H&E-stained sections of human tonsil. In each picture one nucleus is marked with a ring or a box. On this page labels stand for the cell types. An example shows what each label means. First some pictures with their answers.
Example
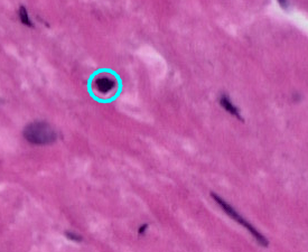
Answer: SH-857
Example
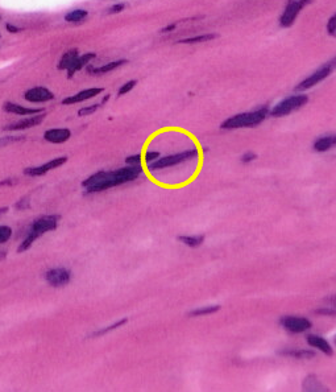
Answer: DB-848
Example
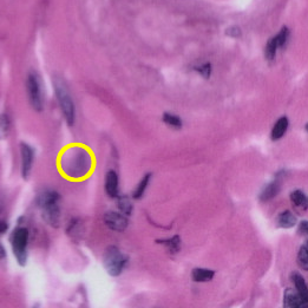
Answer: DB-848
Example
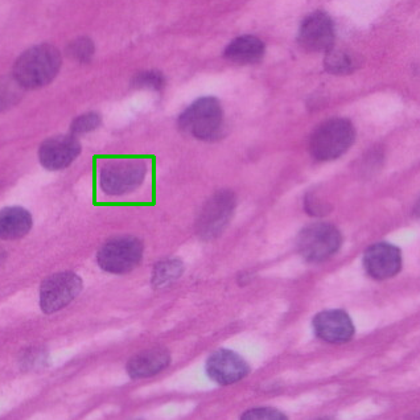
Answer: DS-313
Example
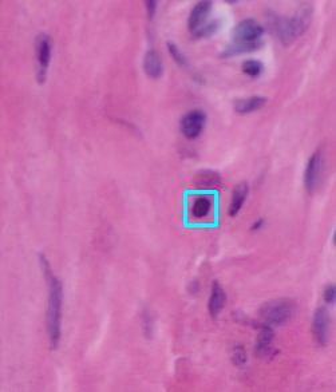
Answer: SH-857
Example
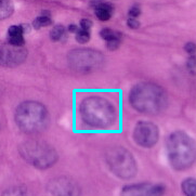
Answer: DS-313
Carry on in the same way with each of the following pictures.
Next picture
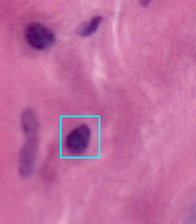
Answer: SH-857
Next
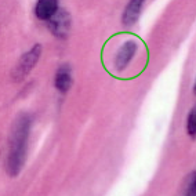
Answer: SH-857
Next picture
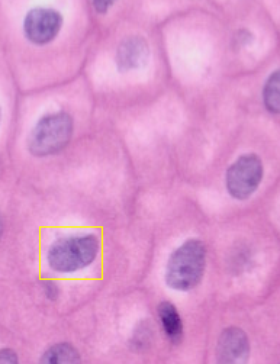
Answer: DS-313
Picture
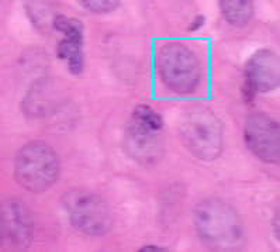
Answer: DS-313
